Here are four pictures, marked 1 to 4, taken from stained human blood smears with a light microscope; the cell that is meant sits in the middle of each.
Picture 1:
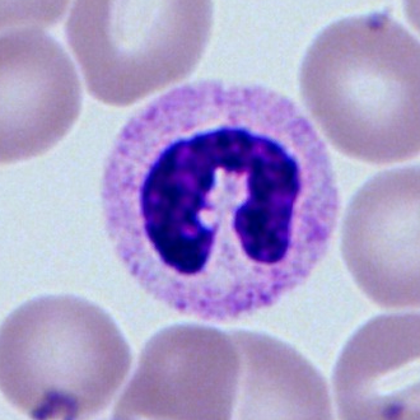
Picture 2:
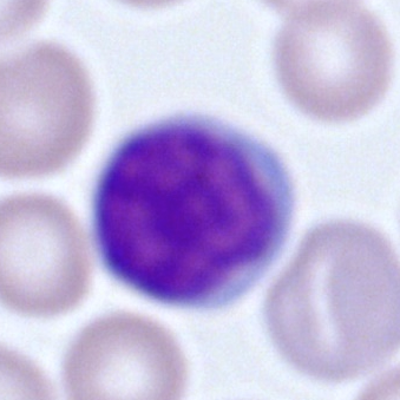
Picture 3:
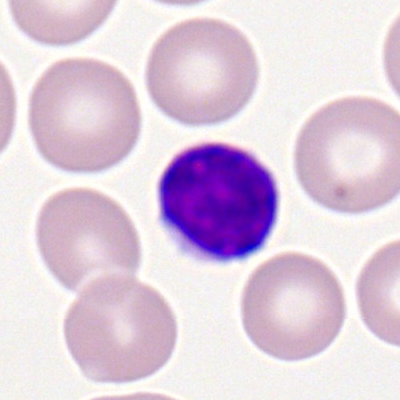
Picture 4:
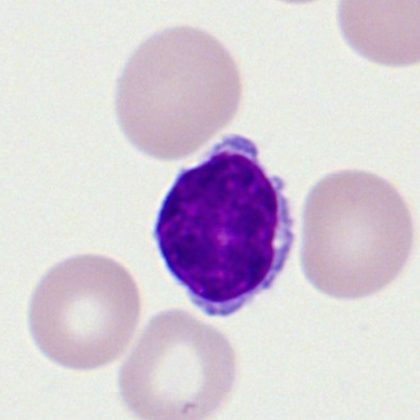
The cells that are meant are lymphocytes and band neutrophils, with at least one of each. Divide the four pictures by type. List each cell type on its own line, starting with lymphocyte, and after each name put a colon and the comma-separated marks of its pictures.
lymphocyte: 2, 3, 4
band neutrophil: 1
